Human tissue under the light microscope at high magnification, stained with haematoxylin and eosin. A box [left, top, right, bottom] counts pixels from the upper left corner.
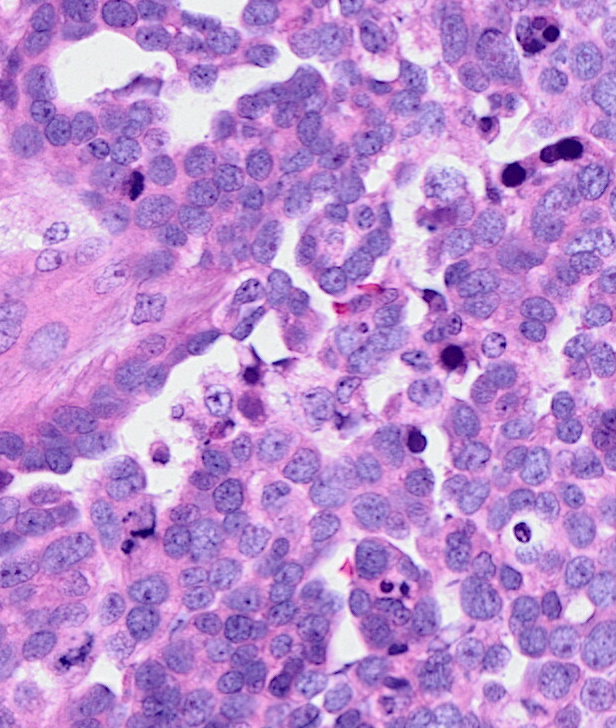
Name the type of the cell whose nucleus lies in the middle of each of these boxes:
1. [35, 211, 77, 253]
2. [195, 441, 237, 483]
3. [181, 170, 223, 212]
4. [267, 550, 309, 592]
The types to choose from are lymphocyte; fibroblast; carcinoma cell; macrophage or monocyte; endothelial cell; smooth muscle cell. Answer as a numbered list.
1. macrophage or monocyte
2. carcinoma cell
3. carcinoma cell
4. carcinoma cell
